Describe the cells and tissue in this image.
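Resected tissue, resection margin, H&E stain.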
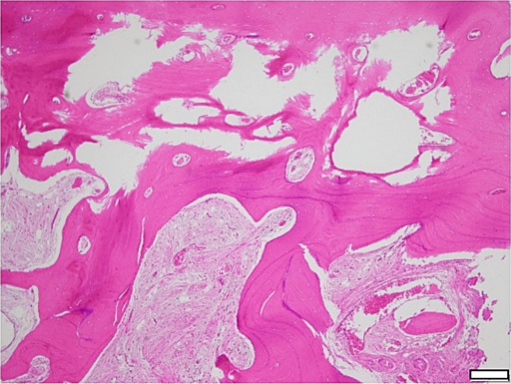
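Broad, pink bone trabeculae with faint lamellar lines enclose marrow spaces. The spaces contain pale, loose fibrous connective tissue and small blood vessels, and some appear empty. The bone is arranged in interconnecting plates of varying thickness. No nests of epithelial cells or sheets of atypical cells are visible anywhere in the field; the tissue consists only of bone and loose connective tissue.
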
